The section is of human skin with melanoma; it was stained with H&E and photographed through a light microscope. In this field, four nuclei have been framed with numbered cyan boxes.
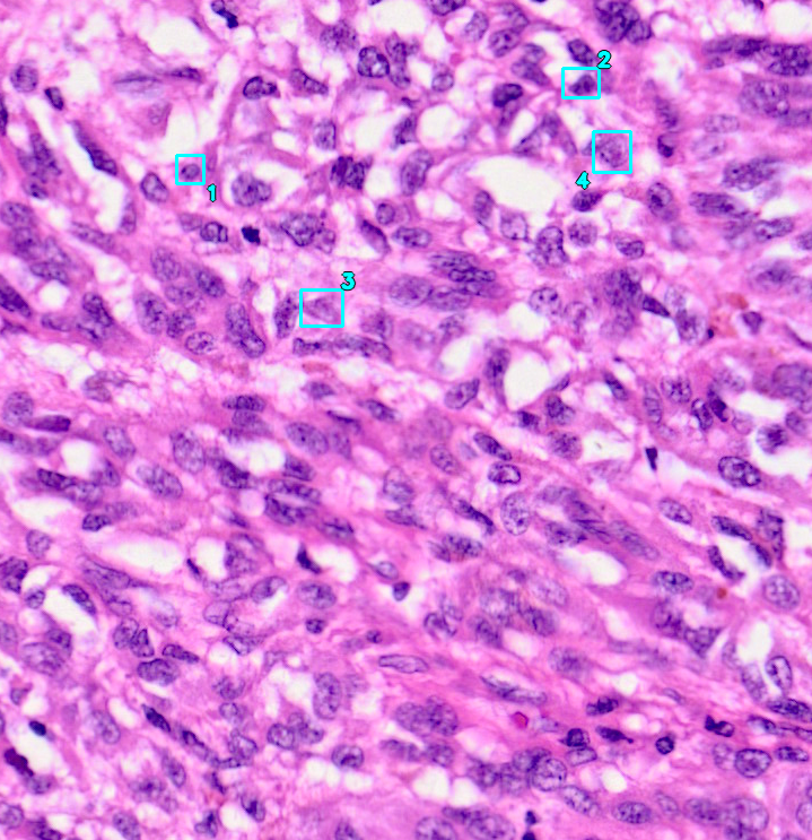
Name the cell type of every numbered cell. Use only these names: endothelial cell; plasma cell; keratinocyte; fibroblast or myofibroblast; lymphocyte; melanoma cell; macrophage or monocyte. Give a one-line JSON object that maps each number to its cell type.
{"1": "macrophage or monocyte", "2": "melanoma cell", "3": "melanoma cell", "4": "melanoma cell"}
